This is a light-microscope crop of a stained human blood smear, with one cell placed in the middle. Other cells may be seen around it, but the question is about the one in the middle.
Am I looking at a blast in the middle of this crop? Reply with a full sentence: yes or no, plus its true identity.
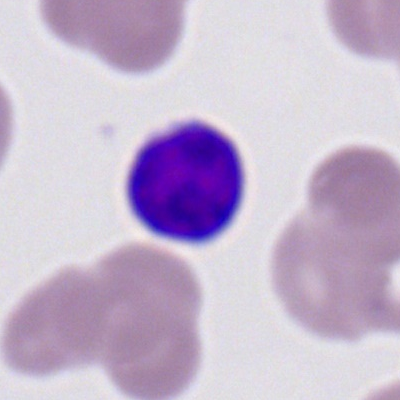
No, the one in the center is not a blast; it is a lymphocyte.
